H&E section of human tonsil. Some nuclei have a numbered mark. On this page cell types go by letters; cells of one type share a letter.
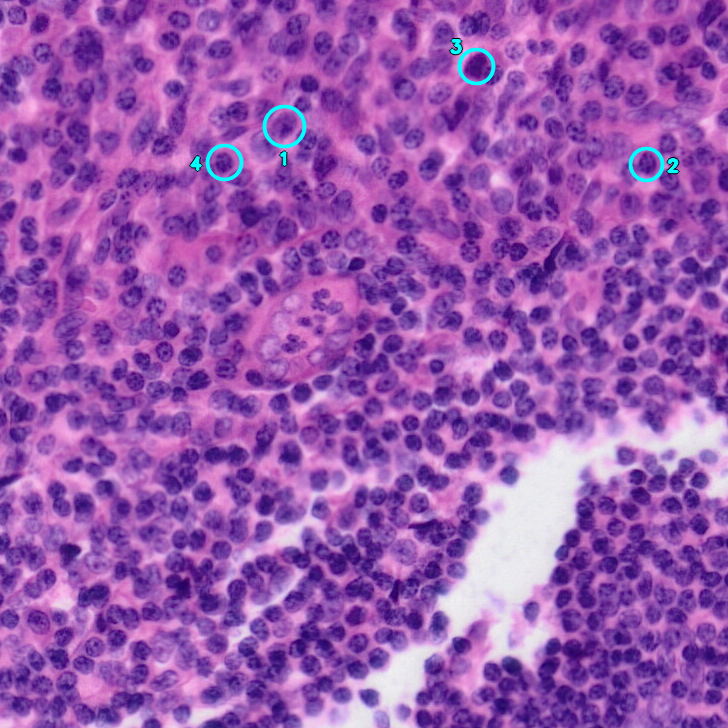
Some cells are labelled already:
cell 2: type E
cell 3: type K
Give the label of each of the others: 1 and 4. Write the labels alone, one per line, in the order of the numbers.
type K
type E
